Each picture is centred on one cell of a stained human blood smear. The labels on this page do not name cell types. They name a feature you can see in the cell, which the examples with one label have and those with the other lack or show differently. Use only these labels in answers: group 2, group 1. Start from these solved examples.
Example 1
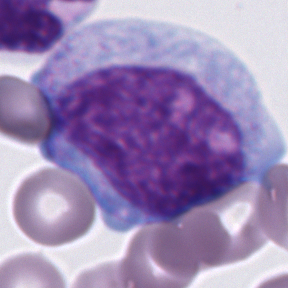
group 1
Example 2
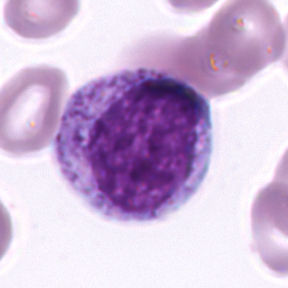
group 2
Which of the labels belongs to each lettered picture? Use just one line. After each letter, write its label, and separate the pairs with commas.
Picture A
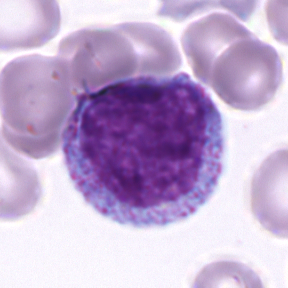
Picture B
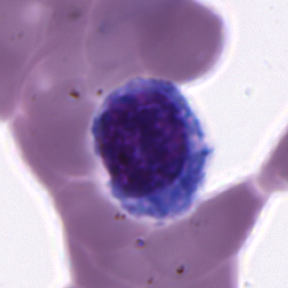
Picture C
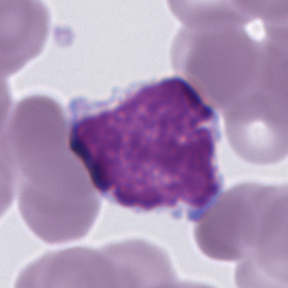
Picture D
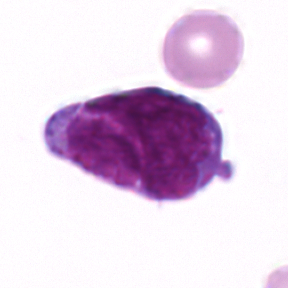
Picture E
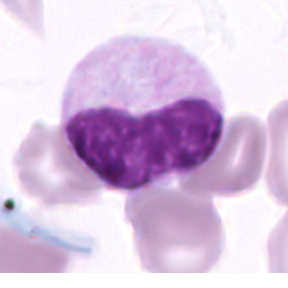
A group 2, B group 2, C group 2, D group 2, E group 1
